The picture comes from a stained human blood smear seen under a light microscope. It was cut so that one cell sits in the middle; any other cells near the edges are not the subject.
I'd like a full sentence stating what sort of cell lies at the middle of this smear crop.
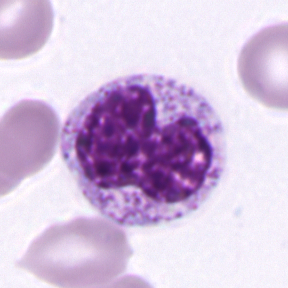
Located at the centre of the crop is a metamyelocyte.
